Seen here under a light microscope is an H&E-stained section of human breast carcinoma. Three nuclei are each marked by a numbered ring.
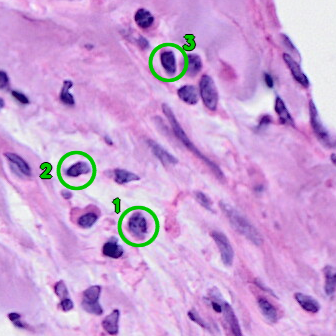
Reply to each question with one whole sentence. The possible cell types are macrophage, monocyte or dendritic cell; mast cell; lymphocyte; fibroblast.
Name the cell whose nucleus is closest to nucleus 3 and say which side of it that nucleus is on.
The nearest nucleus is that of a mast cell and lies to the right of nucleus 3.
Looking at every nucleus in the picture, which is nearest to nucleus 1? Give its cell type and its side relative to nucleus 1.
The closest nucleus belongs to a lymphocyte and sits below and to the left of nucleus 1.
